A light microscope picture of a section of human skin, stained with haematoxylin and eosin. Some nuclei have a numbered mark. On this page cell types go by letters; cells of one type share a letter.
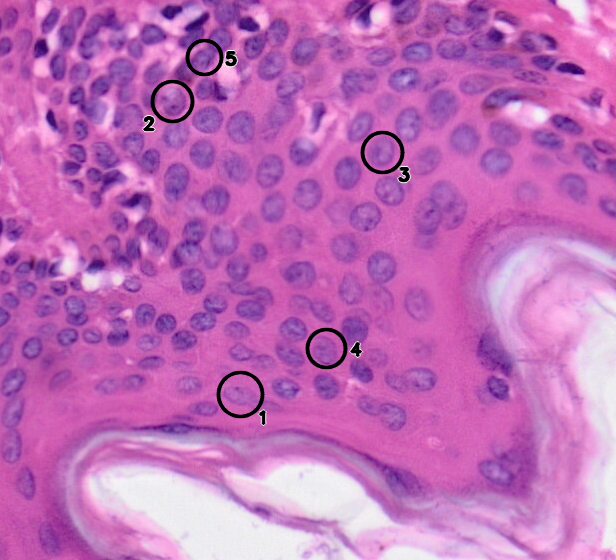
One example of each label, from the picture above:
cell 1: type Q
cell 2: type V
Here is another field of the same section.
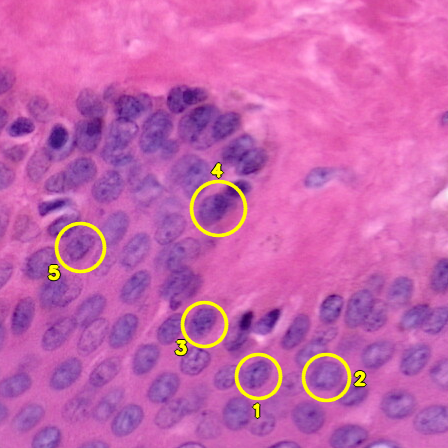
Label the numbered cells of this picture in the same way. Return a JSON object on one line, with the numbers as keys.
{"1": "type Q", "2": "type Q", "3": "type V", "4": "type V", "5": "type Q"}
